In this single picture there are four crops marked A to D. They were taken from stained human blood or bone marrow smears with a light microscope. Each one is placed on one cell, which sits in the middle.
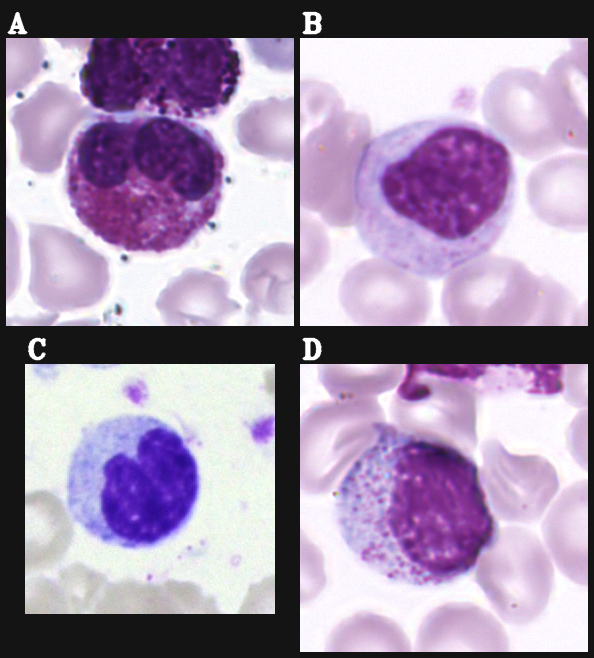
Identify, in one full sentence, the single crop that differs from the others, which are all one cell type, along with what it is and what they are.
Crop A is an eosinophil, and the other crops all show metamyelocytes.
